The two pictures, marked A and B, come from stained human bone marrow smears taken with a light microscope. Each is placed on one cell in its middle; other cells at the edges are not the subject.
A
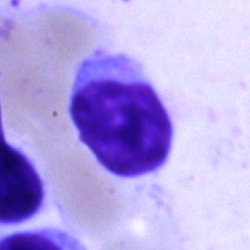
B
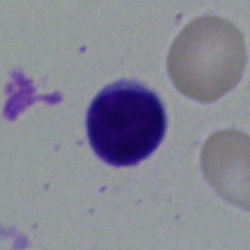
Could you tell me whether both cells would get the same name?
yes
